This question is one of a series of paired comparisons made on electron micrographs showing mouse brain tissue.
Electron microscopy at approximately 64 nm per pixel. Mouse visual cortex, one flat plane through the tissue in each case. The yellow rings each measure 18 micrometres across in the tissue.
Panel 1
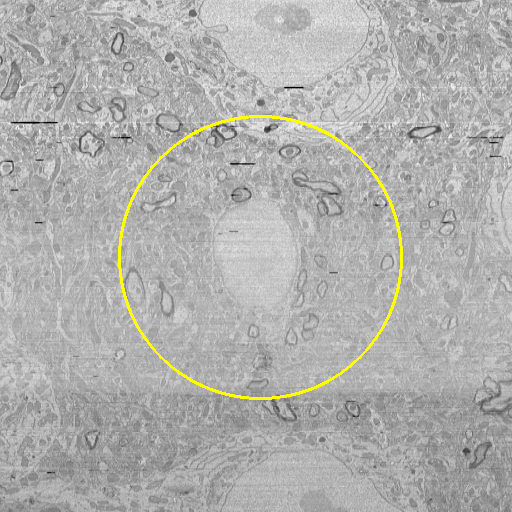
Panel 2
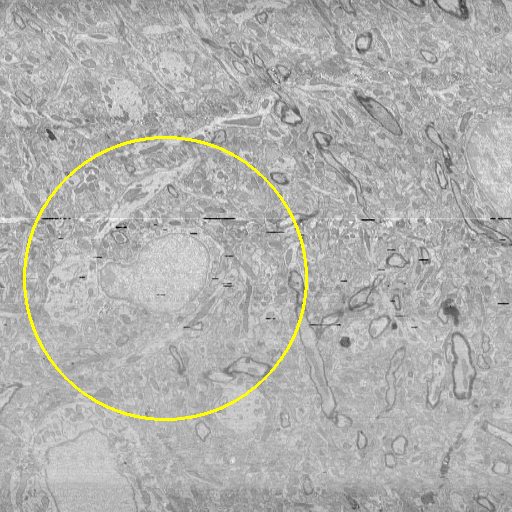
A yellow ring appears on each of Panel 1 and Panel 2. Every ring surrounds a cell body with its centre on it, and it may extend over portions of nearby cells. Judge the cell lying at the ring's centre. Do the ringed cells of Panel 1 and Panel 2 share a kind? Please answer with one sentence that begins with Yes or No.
Yes, the ring-centre cell in Panel 1 and the one in Panel 2 are of one kind.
